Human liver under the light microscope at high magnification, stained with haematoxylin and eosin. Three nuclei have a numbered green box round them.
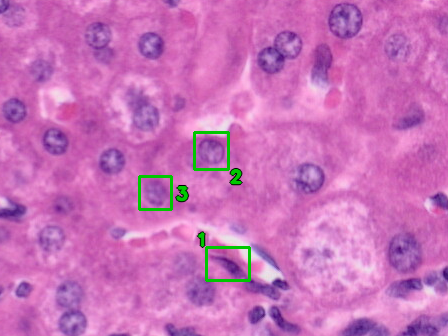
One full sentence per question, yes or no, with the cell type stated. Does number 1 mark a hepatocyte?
No, cell 1 should be classed as a fibroblast or stellate cell, not as a hepatocyte.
